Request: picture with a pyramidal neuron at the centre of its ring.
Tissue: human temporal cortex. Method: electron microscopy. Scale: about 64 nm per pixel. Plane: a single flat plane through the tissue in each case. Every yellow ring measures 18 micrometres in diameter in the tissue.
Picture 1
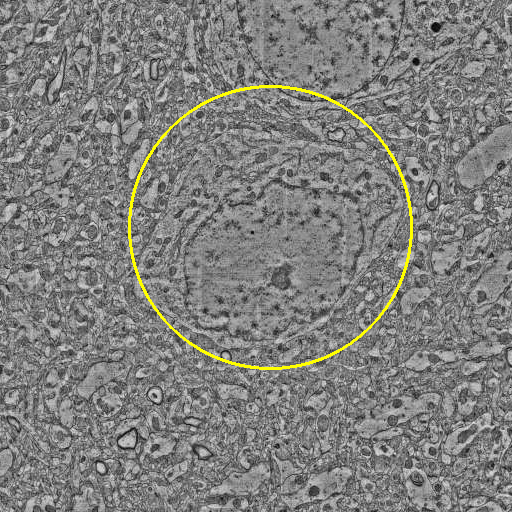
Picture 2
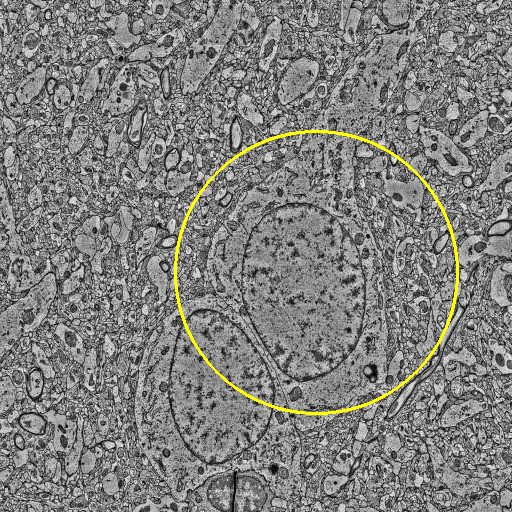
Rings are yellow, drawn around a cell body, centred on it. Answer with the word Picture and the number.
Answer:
Picture 2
